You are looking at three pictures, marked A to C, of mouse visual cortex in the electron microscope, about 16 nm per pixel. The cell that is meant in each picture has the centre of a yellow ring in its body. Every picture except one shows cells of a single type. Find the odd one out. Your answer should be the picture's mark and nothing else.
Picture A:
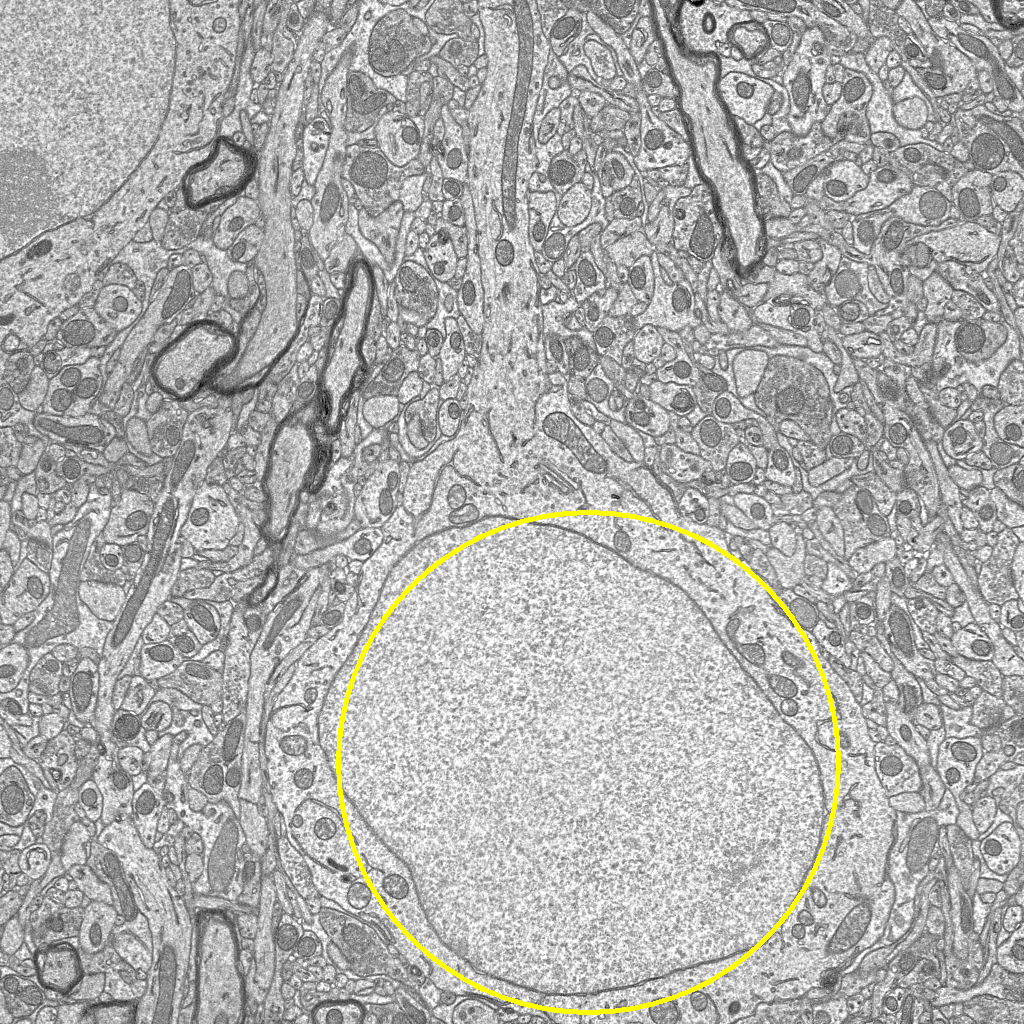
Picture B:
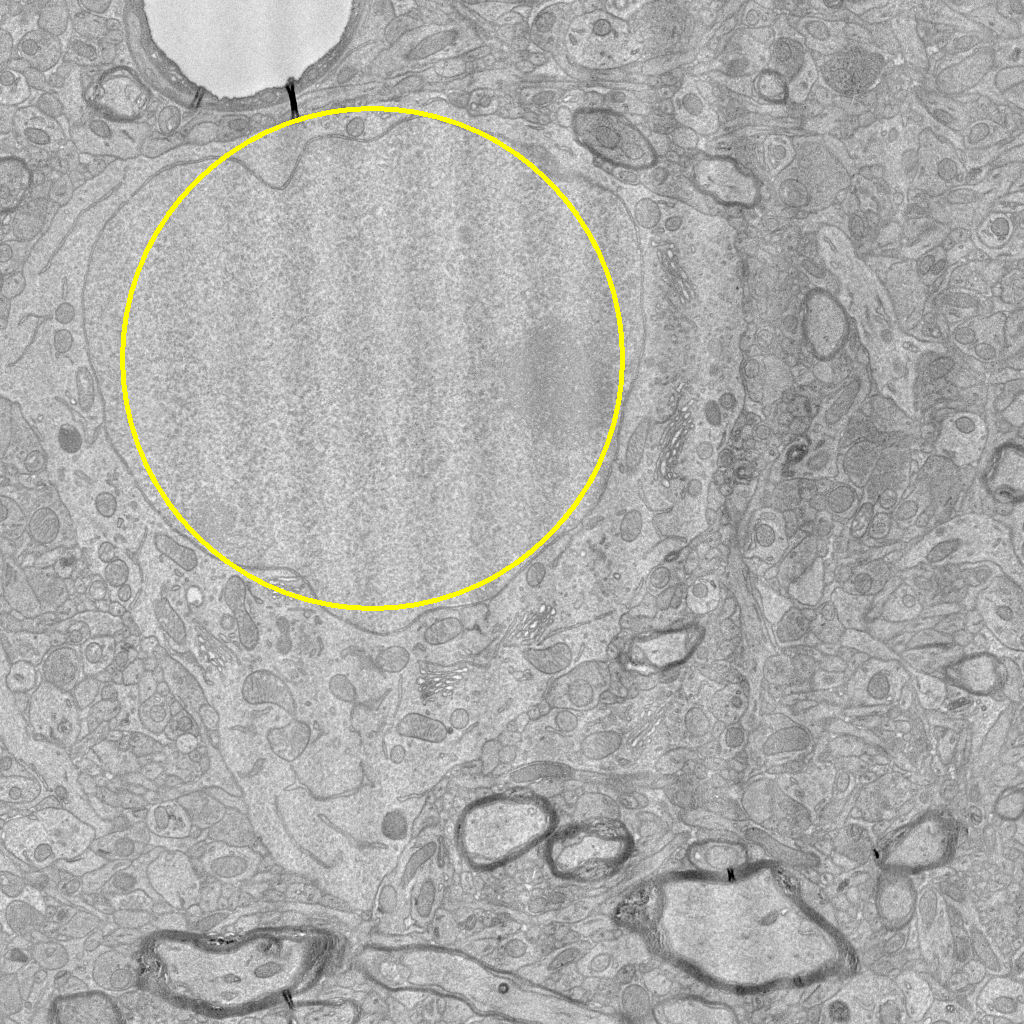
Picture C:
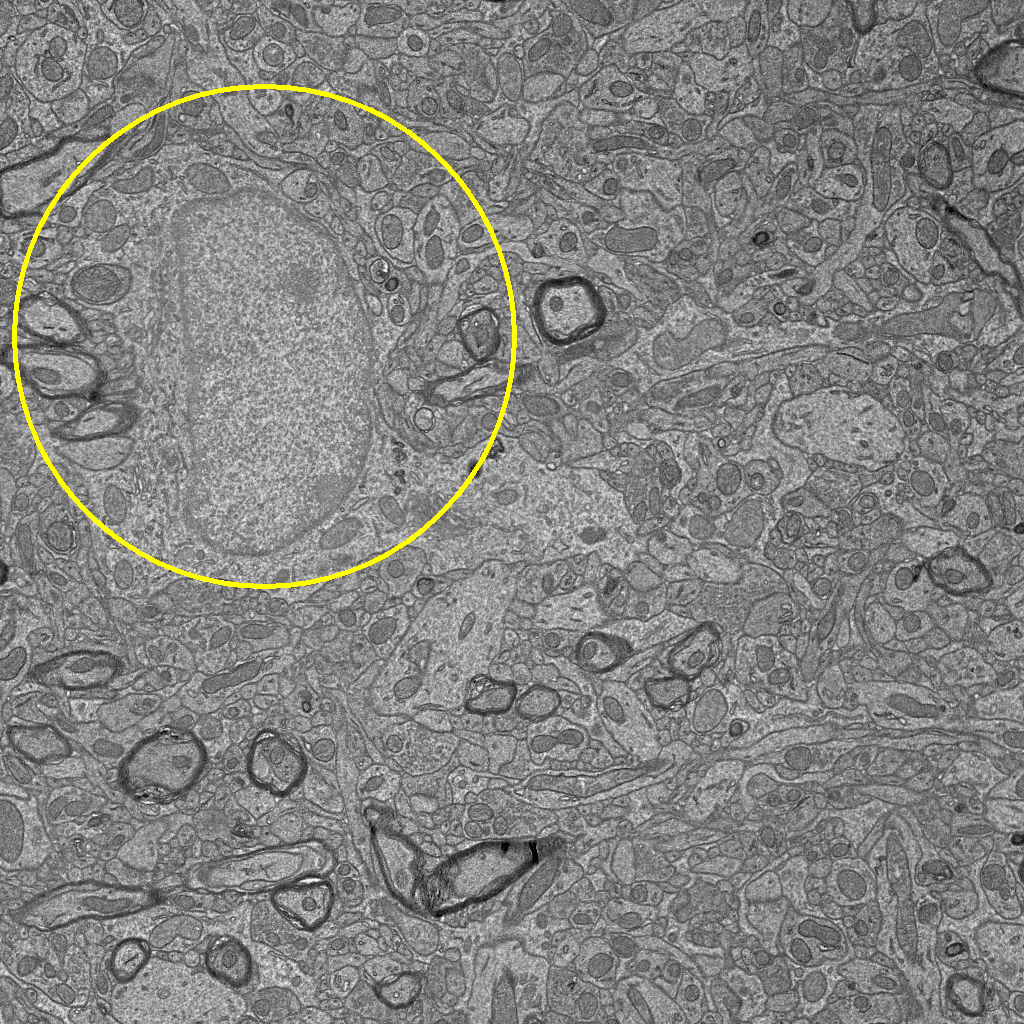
C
